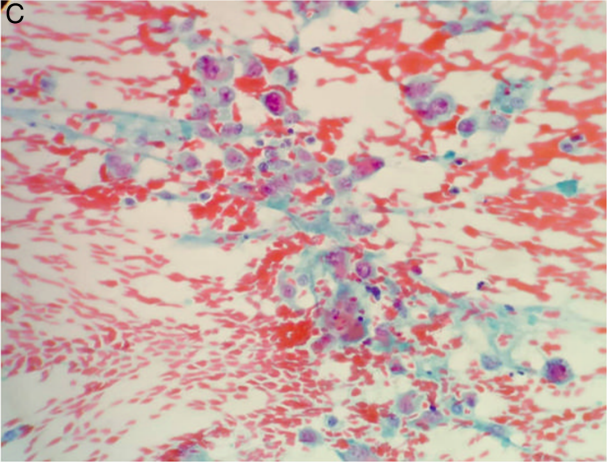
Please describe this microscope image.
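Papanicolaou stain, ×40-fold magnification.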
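This cytology smear shows loose clusters and small sheets of malignant cells set in a heavily bloody background. Countless small red-orange red blood cells, many drawn out into streaks, fill most of the field, with wisps of blue-green material between them. The malignant cells are much larger than the blood cells and have enlarged, round to oval purple nuclei with a rim of pale bluish-purple cytoplasm. The cells and their nuclei vary markedly in size and shape, and several nuclei are darkly stained. Scattered small dark nuclei of other cells lie among the groups.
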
